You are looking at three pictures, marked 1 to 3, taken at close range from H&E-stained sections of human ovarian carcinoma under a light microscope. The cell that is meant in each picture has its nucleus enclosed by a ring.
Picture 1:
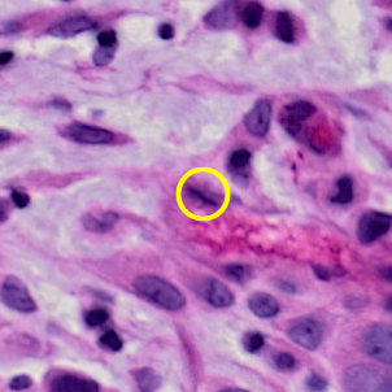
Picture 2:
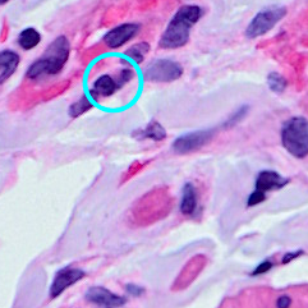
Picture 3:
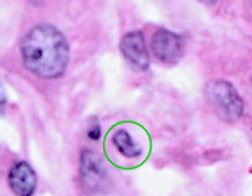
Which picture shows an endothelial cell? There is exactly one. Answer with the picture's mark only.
1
